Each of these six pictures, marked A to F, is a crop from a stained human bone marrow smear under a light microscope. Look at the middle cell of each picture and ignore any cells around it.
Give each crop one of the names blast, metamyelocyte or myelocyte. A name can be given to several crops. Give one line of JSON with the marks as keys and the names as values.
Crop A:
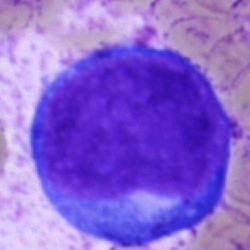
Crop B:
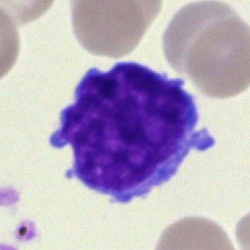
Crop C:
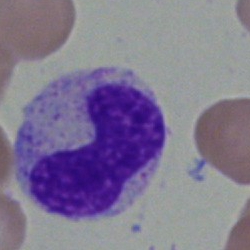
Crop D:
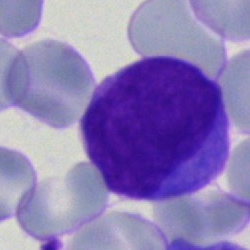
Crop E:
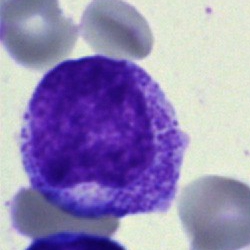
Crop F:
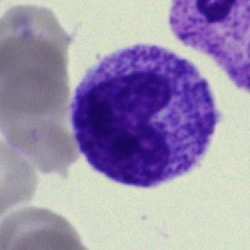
{"A": "blast", "B": "blast", "C": "metamyelocyte", "D": "blast", "E": "myelocyte", "F": "metamyelocyte"}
